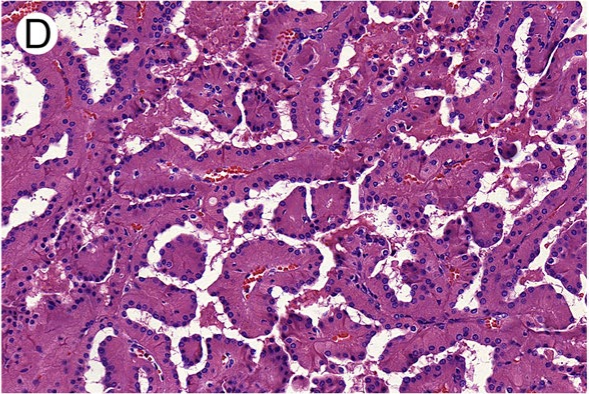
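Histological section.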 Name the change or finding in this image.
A: Round nuclei far away from the basement membrane.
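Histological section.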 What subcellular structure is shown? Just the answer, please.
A: abundant eosinophilic cytoplasm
